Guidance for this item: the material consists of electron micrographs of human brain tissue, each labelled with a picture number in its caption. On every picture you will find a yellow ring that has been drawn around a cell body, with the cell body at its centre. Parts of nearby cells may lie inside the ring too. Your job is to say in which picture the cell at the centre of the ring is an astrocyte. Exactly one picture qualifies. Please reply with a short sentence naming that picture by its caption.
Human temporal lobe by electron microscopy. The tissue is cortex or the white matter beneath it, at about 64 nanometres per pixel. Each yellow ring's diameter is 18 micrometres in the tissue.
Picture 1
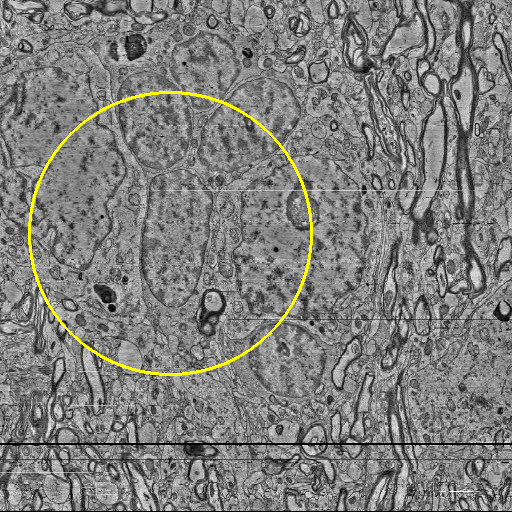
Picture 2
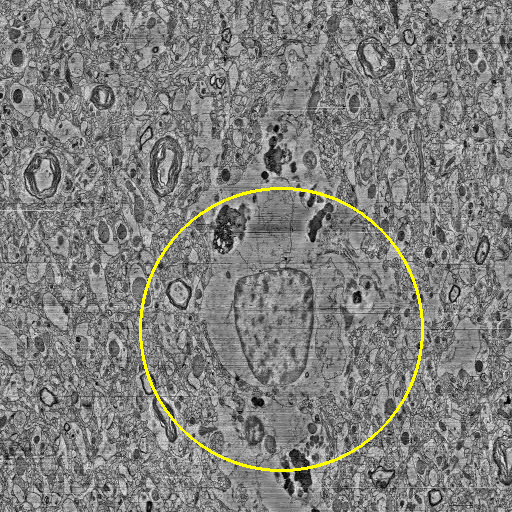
Picture 2 shows it at the centre of the ring.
